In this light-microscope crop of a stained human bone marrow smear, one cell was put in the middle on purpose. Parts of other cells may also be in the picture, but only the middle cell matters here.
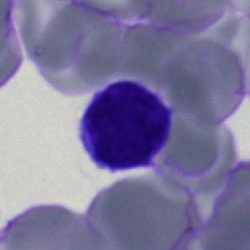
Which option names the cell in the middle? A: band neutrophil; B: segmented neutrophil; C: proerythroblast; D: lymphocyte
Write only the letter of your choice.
D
